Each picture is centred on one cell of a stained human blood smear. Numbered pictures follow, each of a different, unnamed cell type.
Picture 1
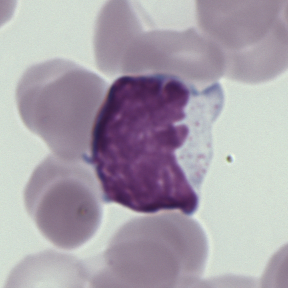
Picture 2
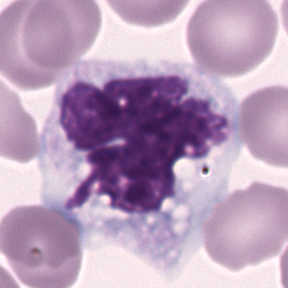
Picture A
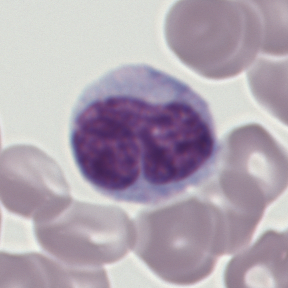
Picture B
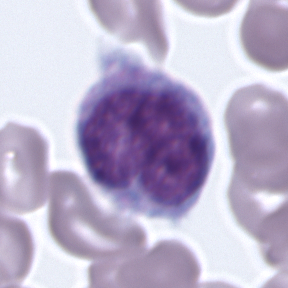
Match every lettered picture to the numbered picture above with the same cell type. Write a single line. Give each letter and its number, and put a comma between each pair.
A 2, B 2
